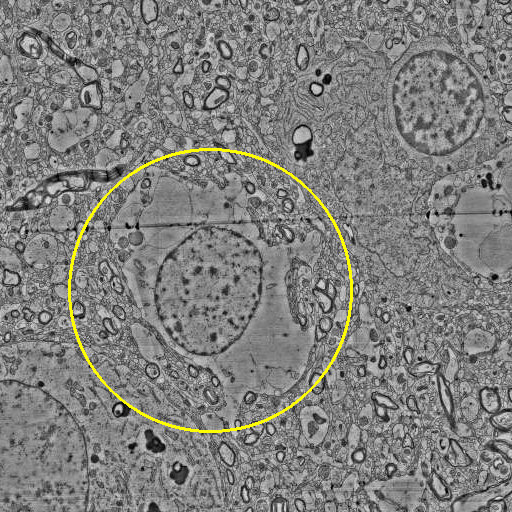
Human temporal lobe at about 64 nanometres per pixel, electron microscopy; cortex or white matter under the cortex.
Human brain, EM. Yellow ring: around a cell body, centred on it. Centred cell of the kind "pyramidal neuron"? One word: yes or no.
no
